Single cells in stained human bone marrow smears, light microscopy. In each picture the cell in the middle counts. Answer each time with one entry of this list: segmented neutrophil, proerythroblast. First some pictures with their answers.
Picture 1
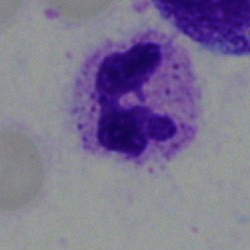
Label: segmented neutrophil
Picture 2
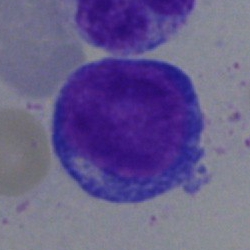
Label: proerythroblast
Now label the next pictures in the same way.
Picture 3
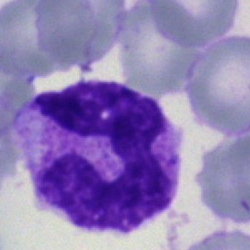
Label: segmented neutrophil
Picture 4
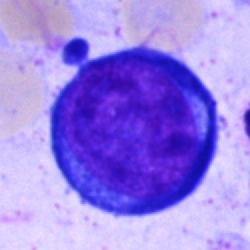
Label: proerythroblast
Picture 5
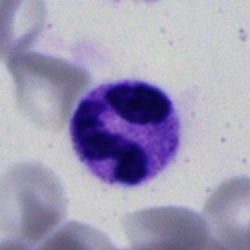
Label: segmented neutrophil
